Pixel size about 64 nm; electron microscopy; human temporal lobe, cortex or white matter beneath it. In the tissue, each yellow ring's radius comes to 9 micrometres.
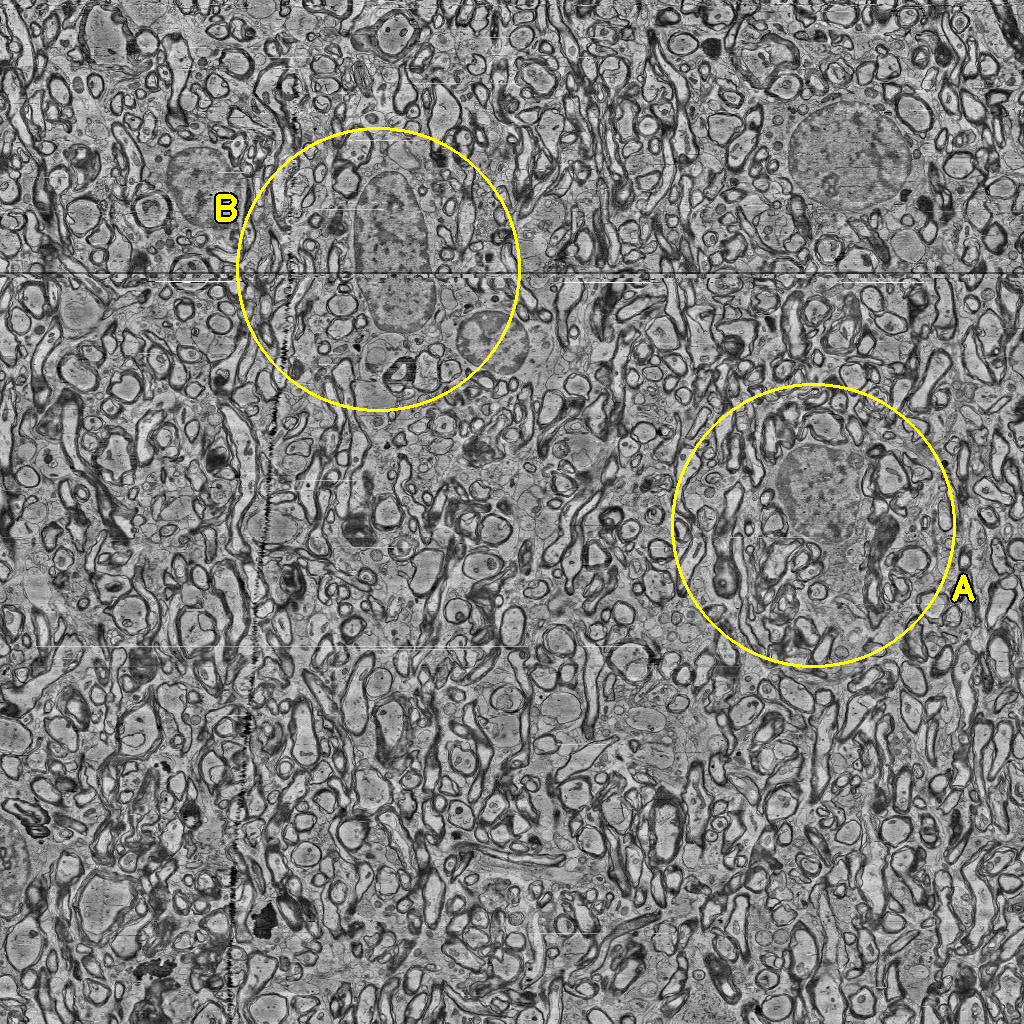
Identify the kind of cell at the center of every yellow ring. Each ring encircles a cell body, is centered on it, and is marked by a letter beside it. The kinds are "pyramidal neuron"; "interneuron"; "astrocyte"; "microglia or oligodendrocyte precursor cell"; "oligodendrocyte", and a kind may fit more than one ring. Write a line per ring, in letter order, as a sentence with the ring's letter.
The cell centered in ring A is an oligodendrocyte.
The cell centered in ring B is a microglial cell or oligodendrocyte precursor cell.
